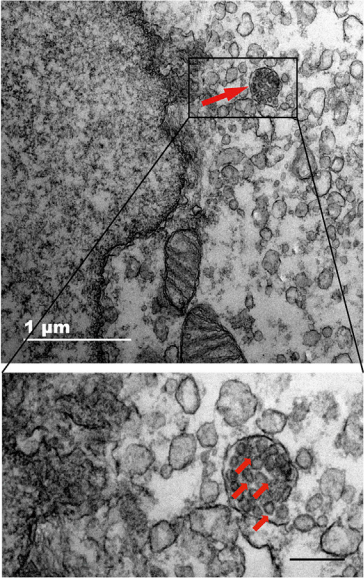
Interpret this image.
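Many small membrane-bound vesicles lie scattered through the cytoplasm. The red arrow points to a round, membrane-bound compartment packed with small internal vesicles, seen enlarged below with short red marks on those inner vesicles. That appearance is that of a multivesicular body with intraluminal vesicles.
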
